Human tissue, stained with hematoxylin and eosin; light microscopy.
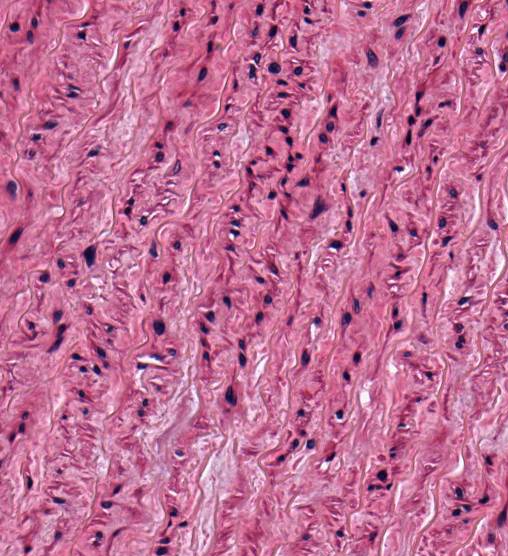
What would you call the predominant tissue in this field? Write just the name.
tunica media of an artery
